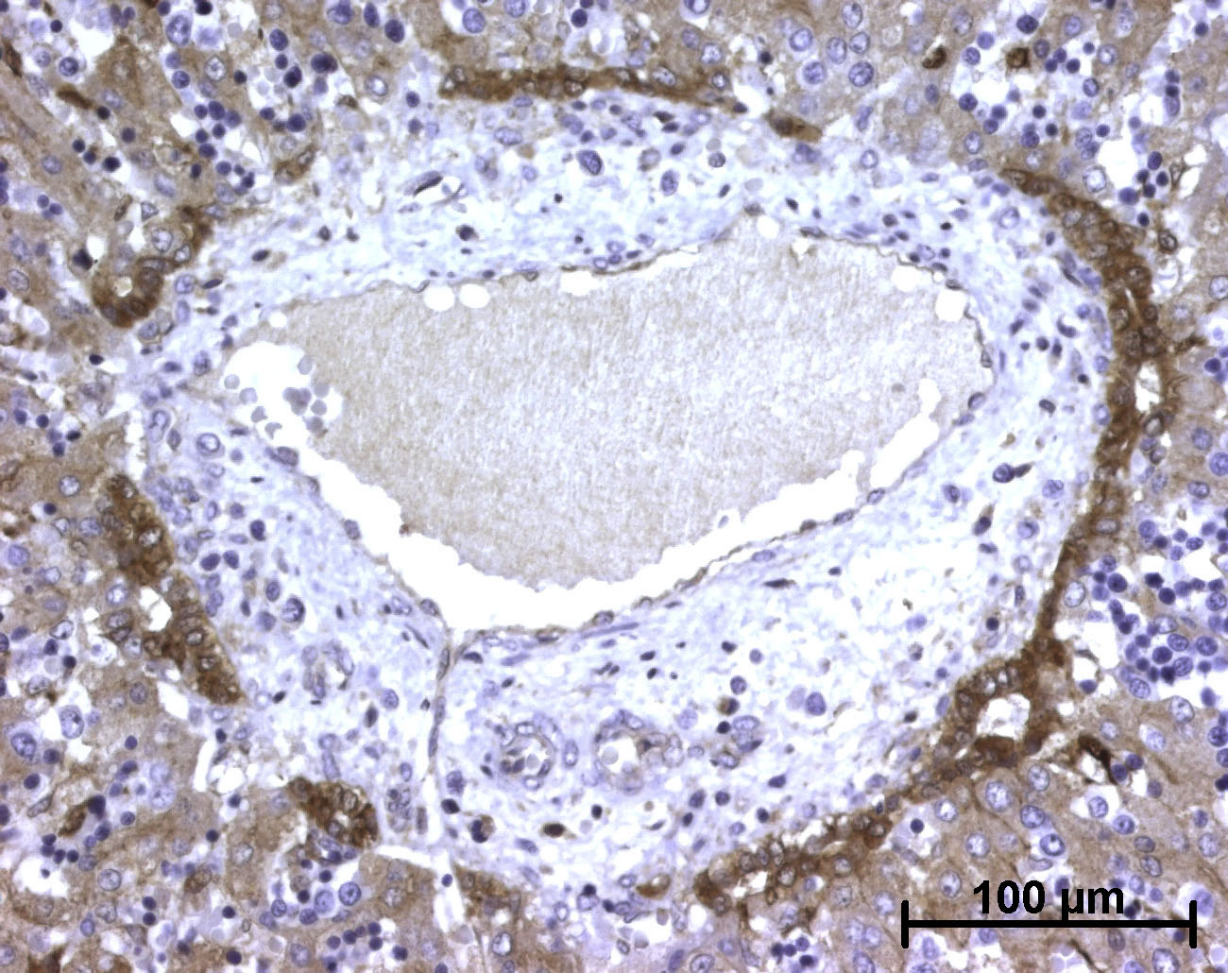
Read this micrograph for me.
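A large vessel filled with pale proteinaceous material sits centrally, surrounded by a wide cuff of loose pale-blue connective tissue with scattered spindle and oval nuclei and small vessels below; these stromal cells lack brown stain. At the interface between connective tissue and parenchyma, an interrupted ring of cuboidal cells stains dark brown, in places forming small lumina. Beyond lie cords of large polygonal hepatocytes with round nuclei and weakly brown cytoplasm, interspersed with clusters of small cells with dense round dark-blue nuclei.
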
